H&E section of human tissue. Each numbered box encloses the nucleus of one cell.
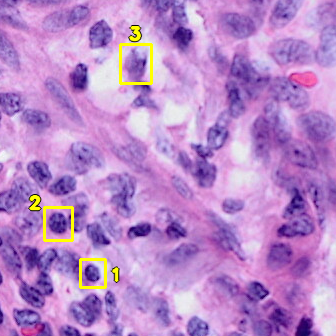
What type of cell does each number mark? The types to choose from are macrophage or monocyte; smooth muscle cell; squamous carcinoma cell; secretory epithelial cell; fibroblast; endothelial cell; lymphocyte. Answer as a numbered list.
1. lymphocyte
2. lymphocyte
3. macrophage or monocyte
